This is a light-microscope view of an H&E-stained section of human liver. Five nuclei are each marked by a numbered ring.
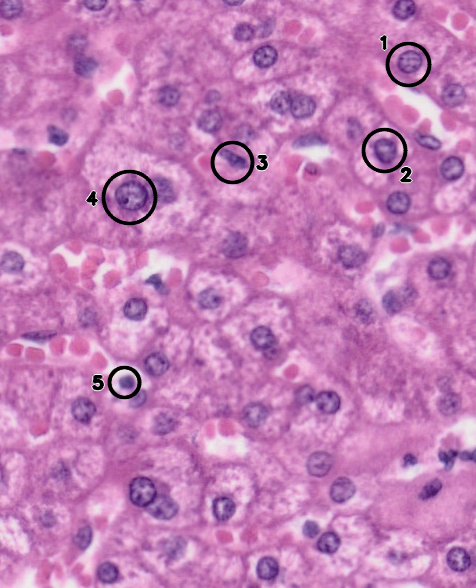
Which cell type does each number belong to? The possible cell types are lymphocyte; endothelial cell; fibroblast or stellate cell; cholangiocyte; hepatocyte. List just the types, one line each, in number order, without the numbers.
hepatocyte
hepatocyte
fibroblast or stellate cell
hepatocyte
lymphocyte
